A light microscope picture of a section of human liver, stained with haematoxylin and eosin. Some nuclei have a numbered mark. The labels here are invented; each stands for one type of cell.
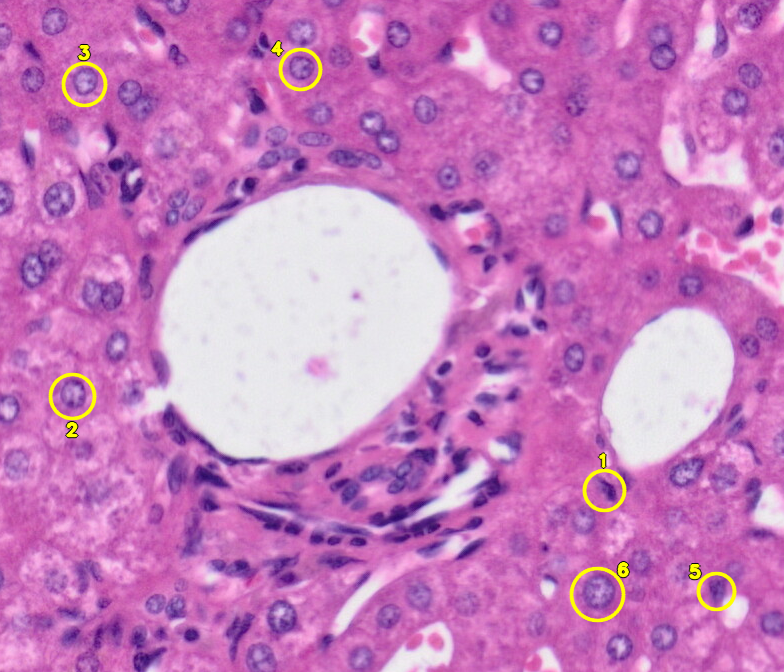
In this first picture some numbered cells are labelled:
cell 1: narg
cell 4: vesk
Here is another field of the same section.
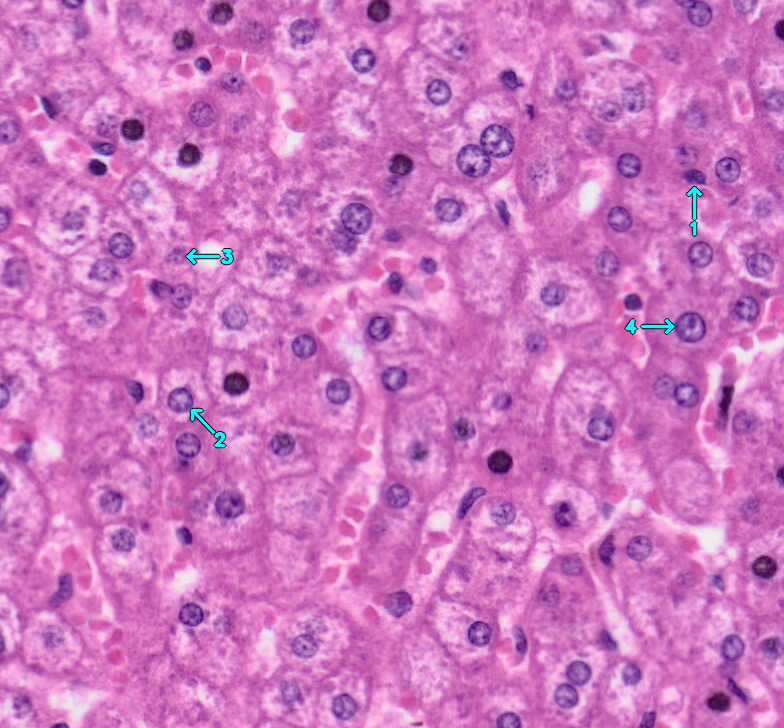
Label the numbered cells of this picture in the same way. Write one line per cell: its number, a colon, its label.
1: narg
2: vesk
3: vesk
4: vesk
